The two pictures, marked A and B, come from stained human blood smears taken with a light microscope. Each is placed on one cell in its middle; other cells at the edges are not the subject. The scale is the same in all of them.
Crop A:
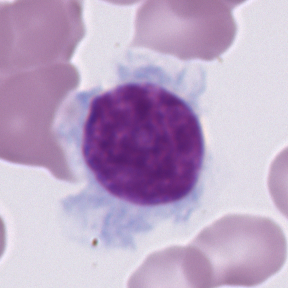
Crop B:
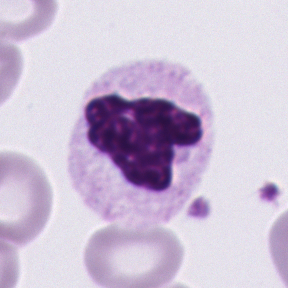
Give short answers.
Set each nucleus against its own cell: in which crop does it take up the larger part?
A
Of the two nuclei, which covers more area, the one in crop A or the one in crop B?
A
